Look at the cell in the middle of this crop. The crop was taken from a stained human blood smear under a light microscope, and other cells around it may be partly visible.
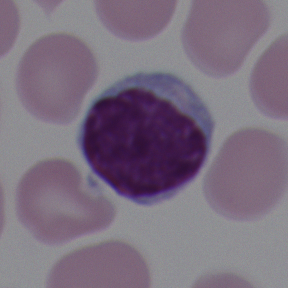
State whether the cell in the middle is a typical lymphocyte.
yes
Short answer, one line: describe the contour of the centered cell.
Smoothness is lacking at the edge, which is ragged in places or drawn into projections.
